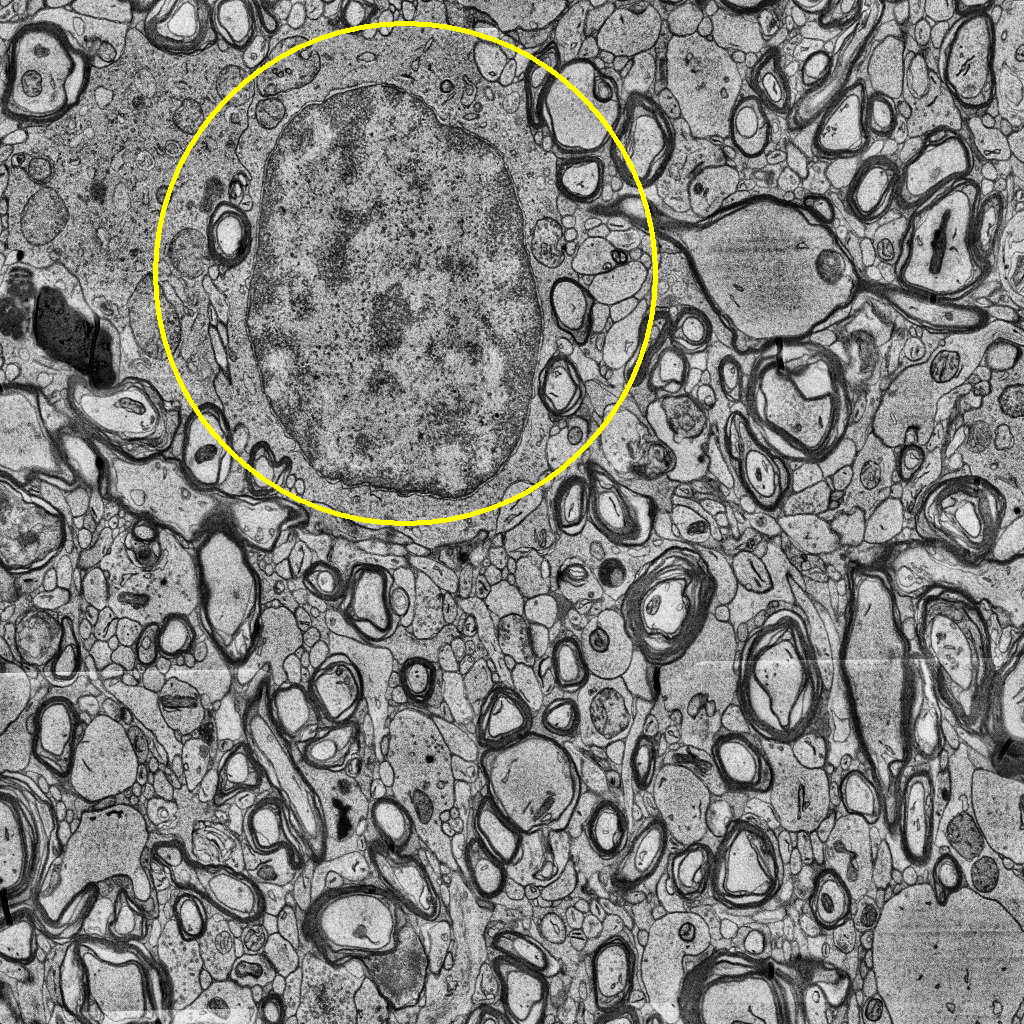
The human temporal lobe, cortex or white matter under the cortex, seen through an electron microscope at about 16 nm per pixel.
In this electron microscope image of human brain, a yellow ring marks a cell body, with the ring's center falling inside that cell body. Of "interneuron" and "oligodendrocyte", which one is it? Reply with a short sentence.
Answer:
It is an oligodendrocyte at the center of the ring.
